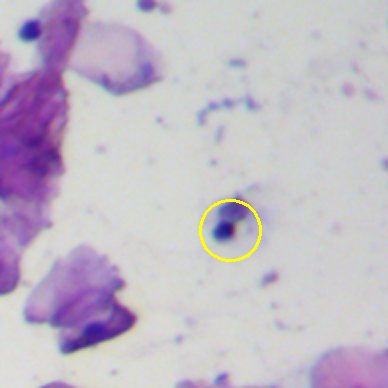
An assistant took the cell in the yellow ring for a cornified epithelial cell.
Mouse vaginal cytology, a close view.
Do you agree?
I disagree, it is a leukocyte.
